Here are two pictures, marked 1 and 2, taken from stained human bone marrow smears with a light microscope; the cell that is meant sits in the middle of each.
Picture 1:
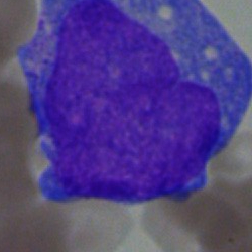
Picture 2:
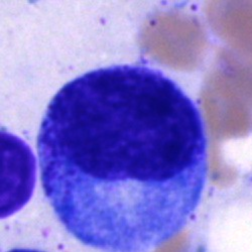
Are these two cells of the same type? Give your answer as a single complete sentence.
No; the cell in picture 1 is a blast, while the one in picture 2 is a promyelocyte.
